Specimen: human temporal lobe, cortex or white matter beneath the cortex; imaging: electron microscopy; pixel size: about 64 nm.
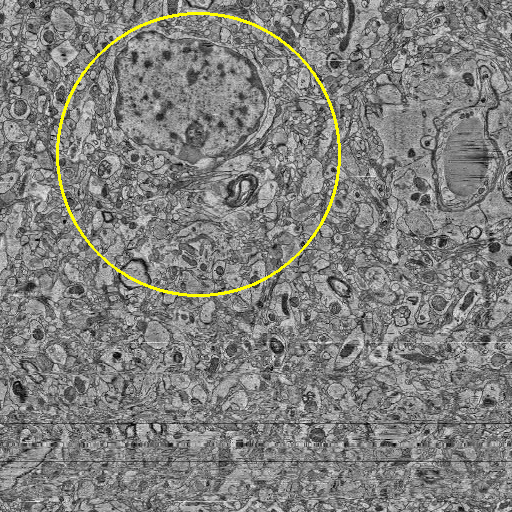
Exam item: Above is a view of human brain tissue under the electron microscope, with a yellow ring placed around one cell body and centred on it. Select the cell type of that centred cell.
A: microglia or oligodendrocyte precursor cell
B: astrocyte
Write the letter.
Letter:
A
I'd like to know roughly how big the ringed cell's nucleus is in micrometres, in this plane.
In this plane, the nucleus of the cell at the centre of the ring measures about 10 by 8 micrometres.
